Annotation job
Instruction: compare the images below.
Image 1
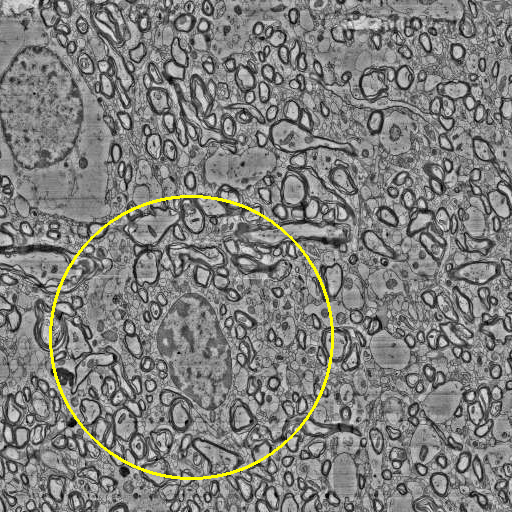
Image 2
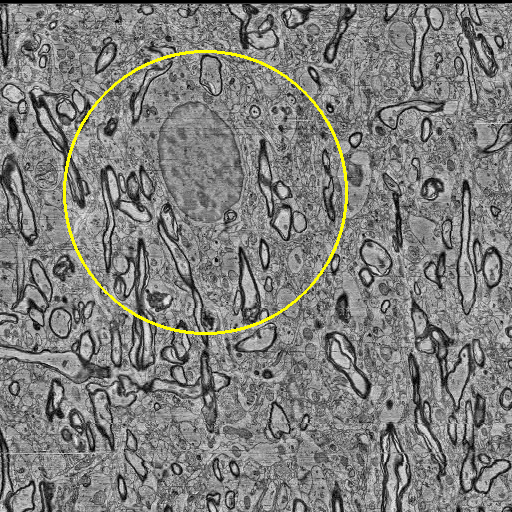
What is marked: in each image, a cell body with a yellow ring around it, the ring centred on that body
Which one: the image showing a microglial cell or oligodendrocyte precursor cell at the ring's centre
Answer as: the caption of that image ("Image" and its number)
Image 1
